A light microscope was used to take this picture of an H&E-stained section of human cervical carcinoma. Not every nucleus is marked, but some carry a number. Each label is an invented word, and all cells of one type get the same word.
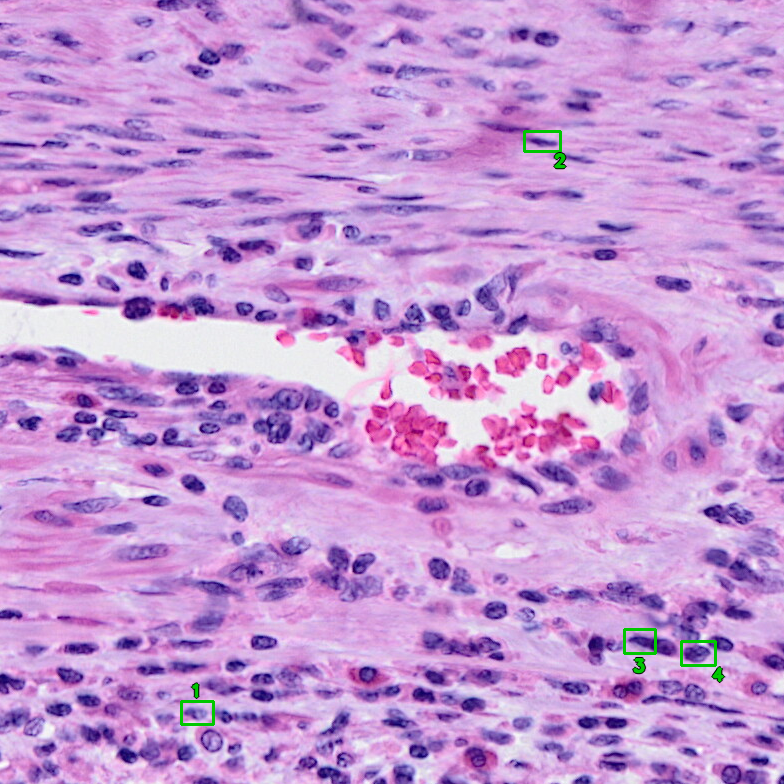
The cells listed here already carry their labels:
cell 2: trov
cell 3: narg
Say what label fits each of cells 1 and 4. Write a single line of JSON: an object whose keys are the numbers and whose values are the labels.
{"1": "narg", "4": "narg"}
